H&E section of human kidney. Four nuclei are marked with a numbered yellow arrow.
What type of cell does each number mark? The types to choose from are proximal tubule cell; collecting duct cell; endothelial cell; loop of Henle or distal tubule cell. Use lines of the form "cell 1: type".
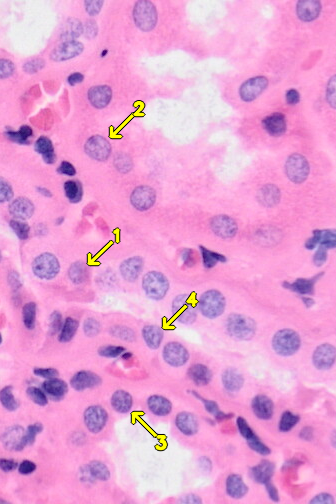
cell 1: collecting duct cell
cell 2: proximal tubule cell
cell 3: loop of Henle or distal tubule cell
cell 4: collecting duct cell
